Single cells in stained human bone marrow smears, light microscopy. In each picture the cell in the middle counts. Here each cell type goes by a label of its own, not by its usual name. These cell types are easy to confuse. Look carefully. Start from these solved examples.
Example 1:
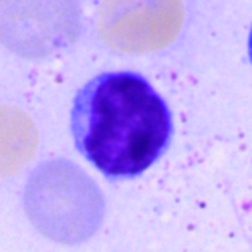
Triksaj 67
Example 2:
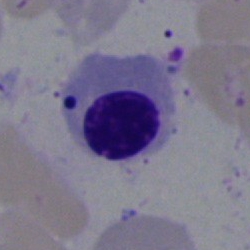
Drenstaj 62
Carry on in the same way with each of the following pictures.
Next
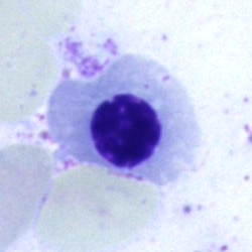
Drenstaj 62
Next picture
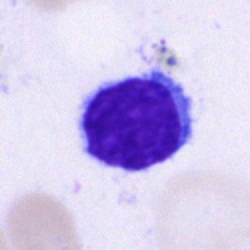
Triksaj 67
